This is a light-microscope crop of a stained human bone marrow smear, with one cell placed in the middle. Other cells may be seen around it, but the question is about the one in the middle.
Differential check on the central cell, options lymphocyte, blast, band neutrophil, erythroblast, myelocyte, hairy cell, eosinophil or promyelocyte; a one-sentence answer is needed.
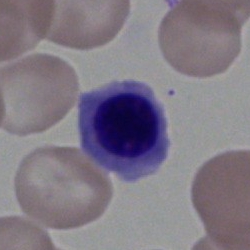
The cell in the exact centre of the crop is an erythroblast.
